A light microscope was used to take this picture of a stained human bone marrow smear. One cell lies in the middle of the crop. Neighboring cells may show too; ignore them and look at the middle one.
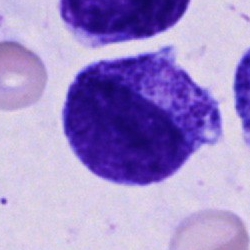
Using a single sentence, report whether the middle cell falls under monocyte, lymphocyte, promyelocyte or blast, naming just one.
As for the central cell, it is a promyelocyte.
